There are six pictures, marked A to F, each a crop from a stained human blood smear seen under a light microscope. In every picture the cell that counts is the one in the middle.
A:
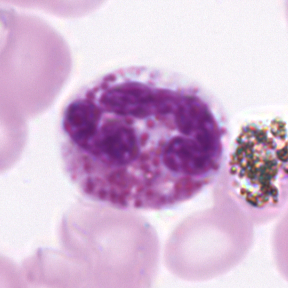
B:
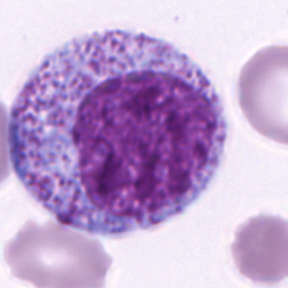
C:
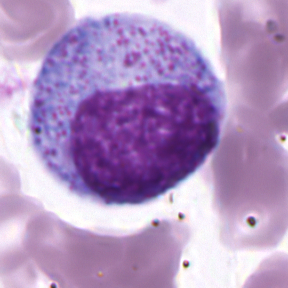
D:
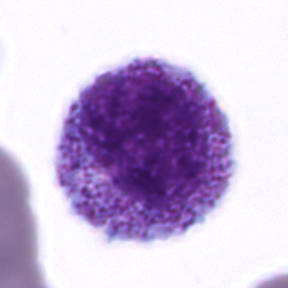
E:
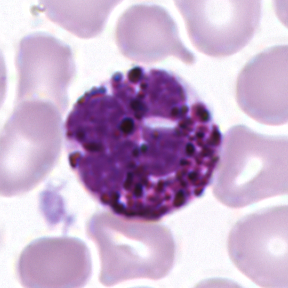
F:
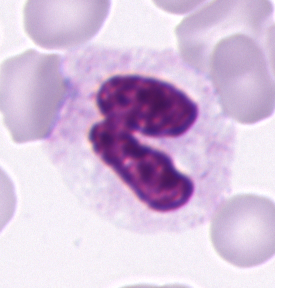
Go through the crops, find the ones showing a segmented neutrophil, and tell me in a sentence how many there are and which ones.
Just one crop here, crop F, shows a segmented neutrophil as its central cell.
